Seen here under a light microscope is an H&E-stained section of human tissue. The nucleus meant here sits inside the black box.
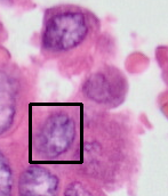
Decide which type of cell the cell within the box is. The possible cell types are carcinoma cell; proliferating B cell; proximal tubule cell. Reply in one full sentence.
In this tissue sample, the cell within the box is a carcinoma cell.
